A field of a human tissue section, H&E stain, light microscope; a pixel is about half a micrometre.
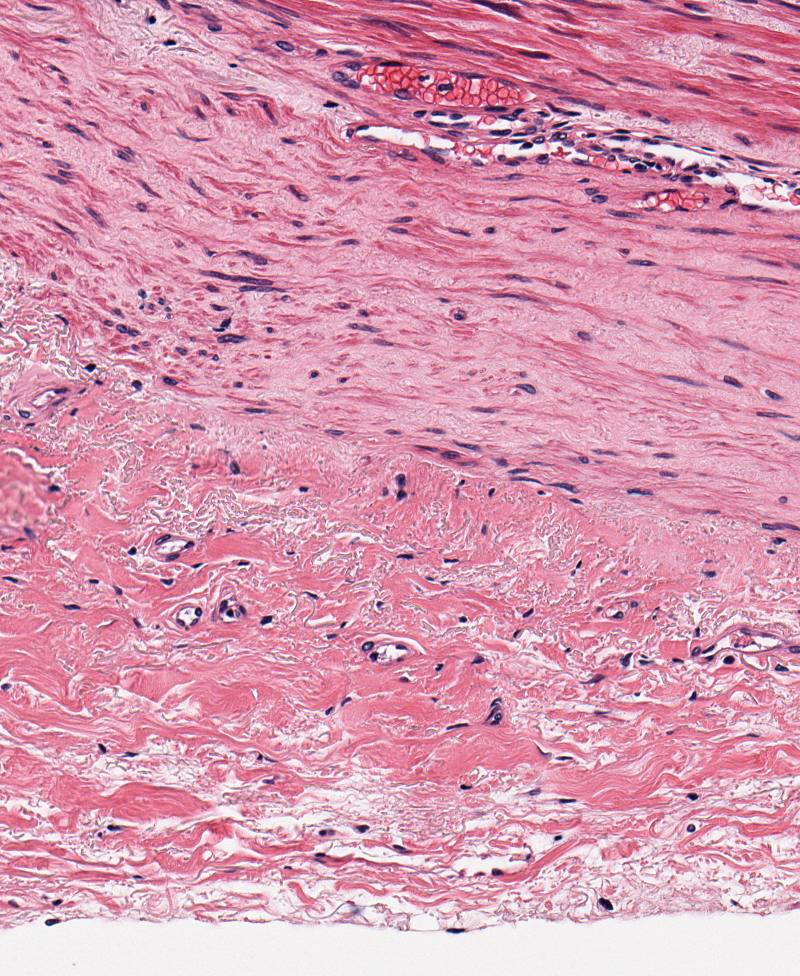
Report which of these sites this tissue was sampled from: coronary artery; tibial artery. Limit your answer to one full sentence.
This slide holds tissue sampled from the tibial artery.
